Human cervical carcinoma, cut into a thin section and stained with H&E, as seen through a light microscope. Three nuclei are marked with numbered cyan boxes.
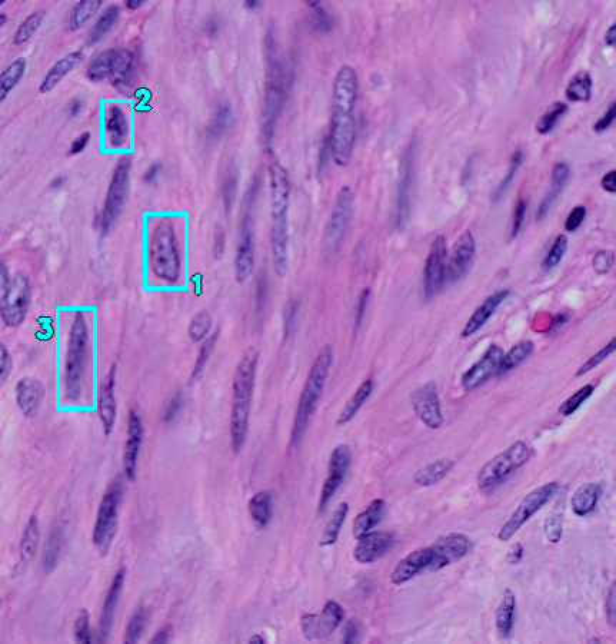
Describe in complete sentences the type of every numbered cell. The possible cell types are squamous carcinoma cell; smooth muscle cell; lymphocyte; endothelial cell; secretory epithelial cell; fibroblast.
Cell 1 is a smooth muscle cell, cell 2 is a fibroblast and cell 3 is a fibroblast.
